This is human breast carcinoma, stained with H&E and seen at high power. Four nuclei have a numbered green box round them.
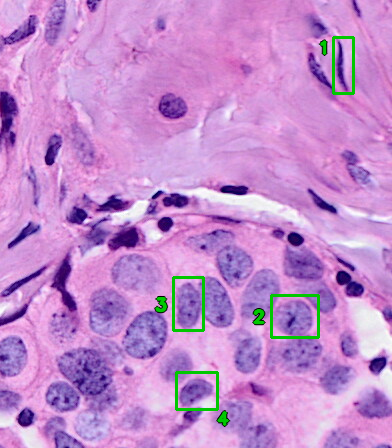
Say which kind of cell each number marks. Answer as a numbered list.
1. fibroblast
2. carcinoma cell
3. carcinoma cell
4. carcinoma cell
